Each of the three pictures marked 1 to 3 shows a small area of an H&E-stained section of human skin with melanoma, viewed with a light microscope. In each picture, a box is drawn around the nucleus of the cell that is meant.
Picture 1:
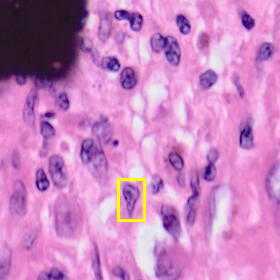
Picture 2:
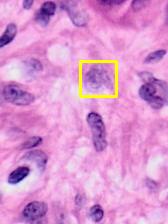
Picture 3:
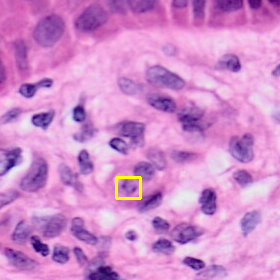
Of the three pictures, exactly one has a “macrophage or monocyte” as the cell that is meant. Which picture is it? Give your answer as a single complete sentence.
It is picture 1 that shows the “macrophage or monocyte”.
